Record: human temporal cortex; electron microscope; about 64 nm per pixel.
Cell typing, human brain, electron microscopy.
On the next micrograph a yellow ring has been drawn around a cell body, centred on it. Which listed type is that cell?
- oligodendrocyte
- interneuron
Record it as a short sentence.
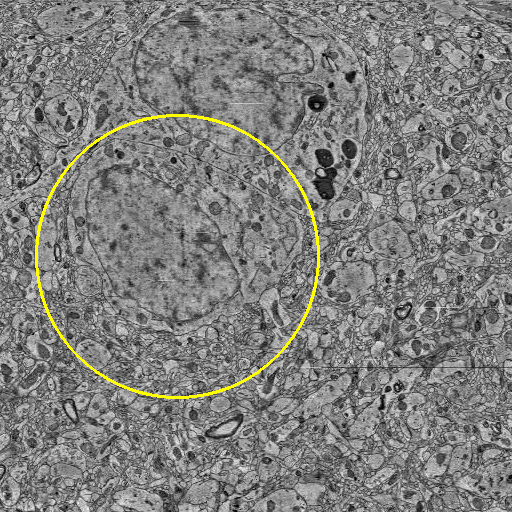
The cell body in the ring's centre belongs to an interneuron.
